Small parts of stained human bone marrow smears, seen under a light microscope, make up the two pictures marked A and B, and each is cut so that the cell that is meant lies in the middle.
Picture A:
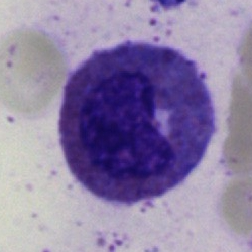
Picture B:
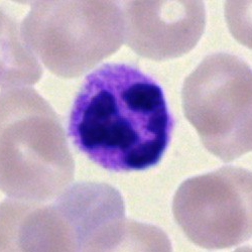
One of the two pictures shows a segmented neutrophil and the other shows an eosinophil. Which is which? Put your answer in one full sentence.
In picture A the cell is an eosinophil; in picture B, a segmented neutrophil.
